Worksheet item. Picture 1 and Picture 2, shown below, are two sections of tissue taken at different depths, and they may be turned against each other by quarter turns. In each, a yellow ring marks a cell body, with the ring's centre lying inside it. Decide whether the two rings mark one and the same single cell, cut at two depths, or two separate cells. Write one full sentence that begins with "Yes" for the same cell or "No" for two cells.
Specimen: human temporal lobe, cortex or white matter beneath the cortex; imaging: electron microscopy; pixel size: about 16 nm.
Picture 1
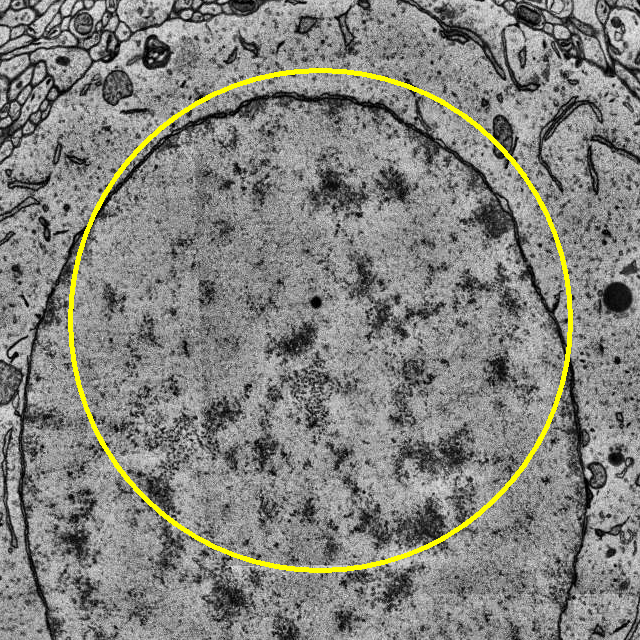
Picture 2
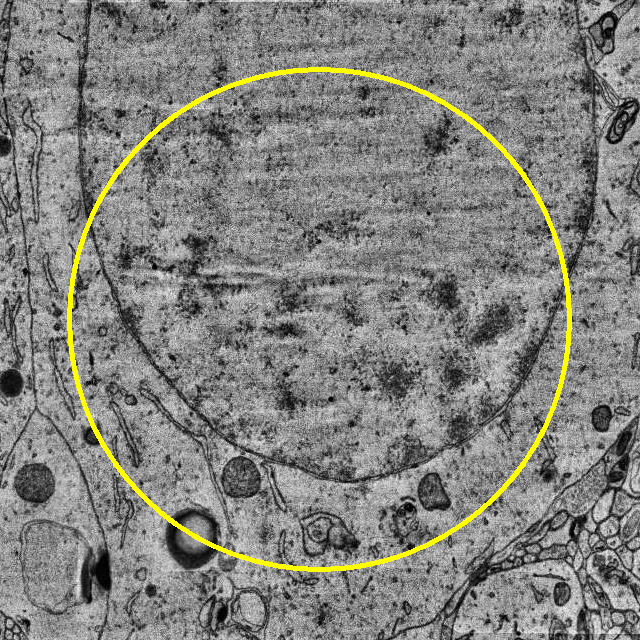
No, the cells inside the two rings are not the same cell.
